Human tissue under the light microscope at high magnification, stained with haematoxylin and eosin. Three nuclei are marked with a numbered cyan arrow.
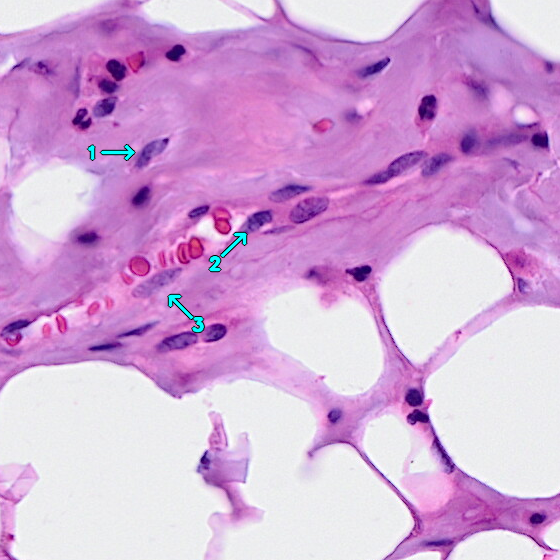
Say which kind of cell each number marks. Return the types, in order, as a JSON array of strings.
["fibroblast", "endothelial cell", "endothelial cell"]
